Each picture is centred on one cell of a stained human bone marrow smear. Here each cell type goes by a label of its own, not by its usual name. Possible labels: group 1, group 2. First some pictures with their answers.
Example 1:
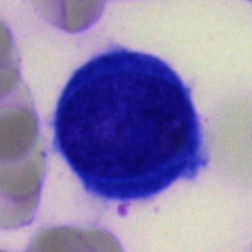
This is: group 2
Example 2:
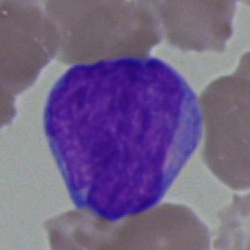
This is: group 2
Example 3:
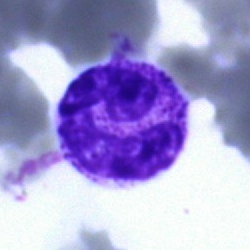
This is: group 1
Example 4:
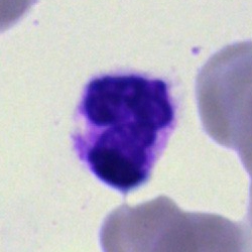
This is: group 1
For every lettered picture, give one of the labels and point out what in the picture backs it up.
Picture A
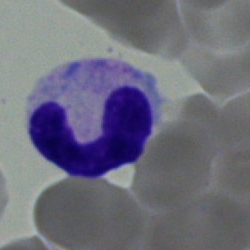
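Label: group 1. The nucleus is a single curved band bent into a U with both ends pointing upward.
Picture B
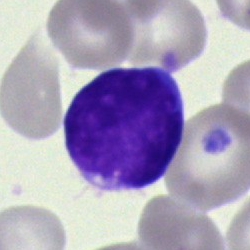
Label: group 2. The nucleus fills almost the whole cell, leaving only a very thin rim of cytoplasm.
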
